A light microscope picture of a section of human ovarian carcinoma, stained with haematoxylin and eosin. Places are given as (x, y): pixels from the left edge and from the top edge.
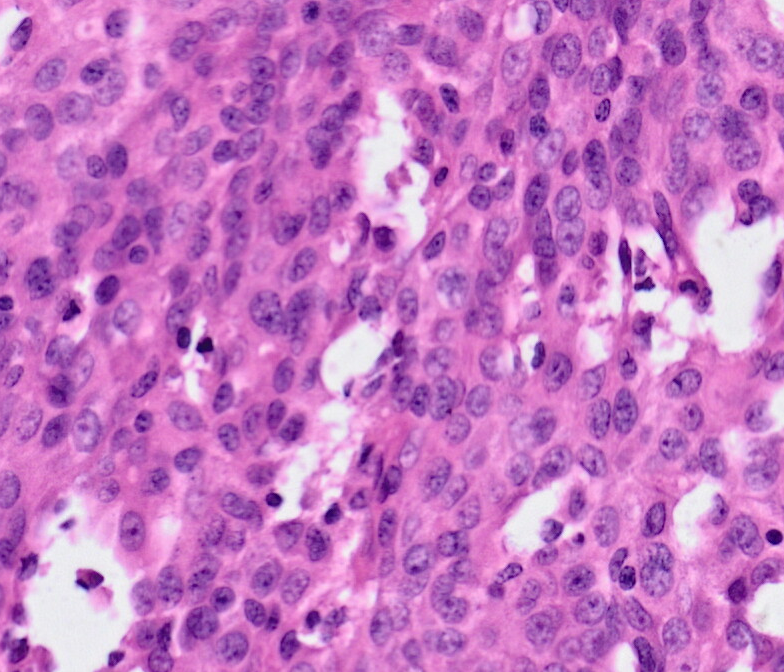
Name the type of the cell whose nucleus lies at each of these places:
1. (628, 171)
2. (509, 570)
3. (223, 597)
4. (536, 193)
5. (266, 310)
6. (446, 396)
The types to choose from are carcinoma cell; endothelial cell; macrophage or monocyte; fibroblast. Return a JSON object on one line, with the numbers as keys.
{"1": "carcinoma cell", "2": "macrophage or monocyte", "3": "macrophage or monocyte", "4": "carcinoma cell", "5": "carcinoma cell", "6": "carcinoma cell"}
